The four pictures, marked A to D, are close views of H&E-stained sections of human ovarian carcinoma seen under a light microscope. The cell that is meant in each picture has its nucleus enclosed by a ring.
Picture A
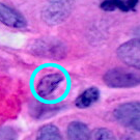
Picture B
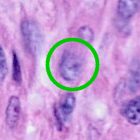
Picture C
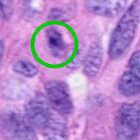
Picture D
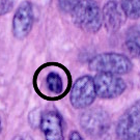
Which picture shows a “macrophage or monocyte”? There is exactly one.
A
